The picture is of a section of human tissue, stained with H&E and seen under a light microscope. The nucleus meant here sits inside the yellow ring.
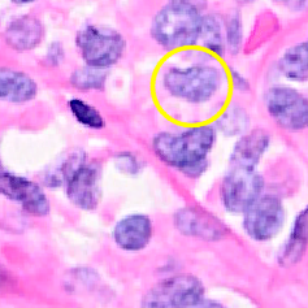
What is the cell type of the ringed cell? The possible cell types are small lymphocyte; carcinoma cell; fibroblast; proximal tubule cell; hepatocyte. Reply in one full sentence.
The correct response here is that the ringed cell is a carcinoma cell.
